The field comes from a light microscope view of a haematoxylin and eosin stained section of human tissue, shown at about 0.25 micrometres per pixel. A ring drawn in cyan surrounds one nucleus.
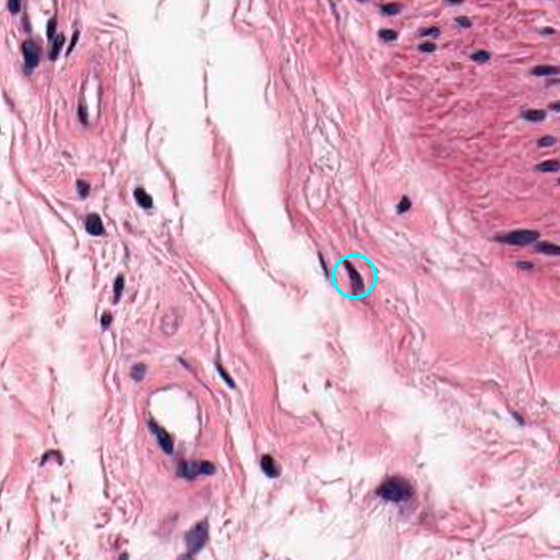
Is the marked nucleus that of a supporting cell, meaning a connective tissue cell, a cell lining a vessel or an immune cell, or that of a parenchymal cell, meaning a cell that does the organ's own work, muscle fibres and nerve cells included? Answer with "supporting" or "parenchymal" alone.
supporting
